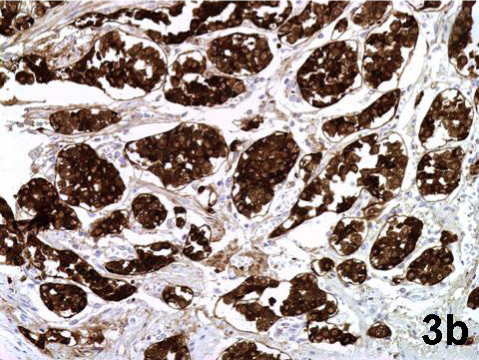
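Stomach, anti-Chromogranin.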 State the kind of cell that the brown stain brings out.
Tumour cells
